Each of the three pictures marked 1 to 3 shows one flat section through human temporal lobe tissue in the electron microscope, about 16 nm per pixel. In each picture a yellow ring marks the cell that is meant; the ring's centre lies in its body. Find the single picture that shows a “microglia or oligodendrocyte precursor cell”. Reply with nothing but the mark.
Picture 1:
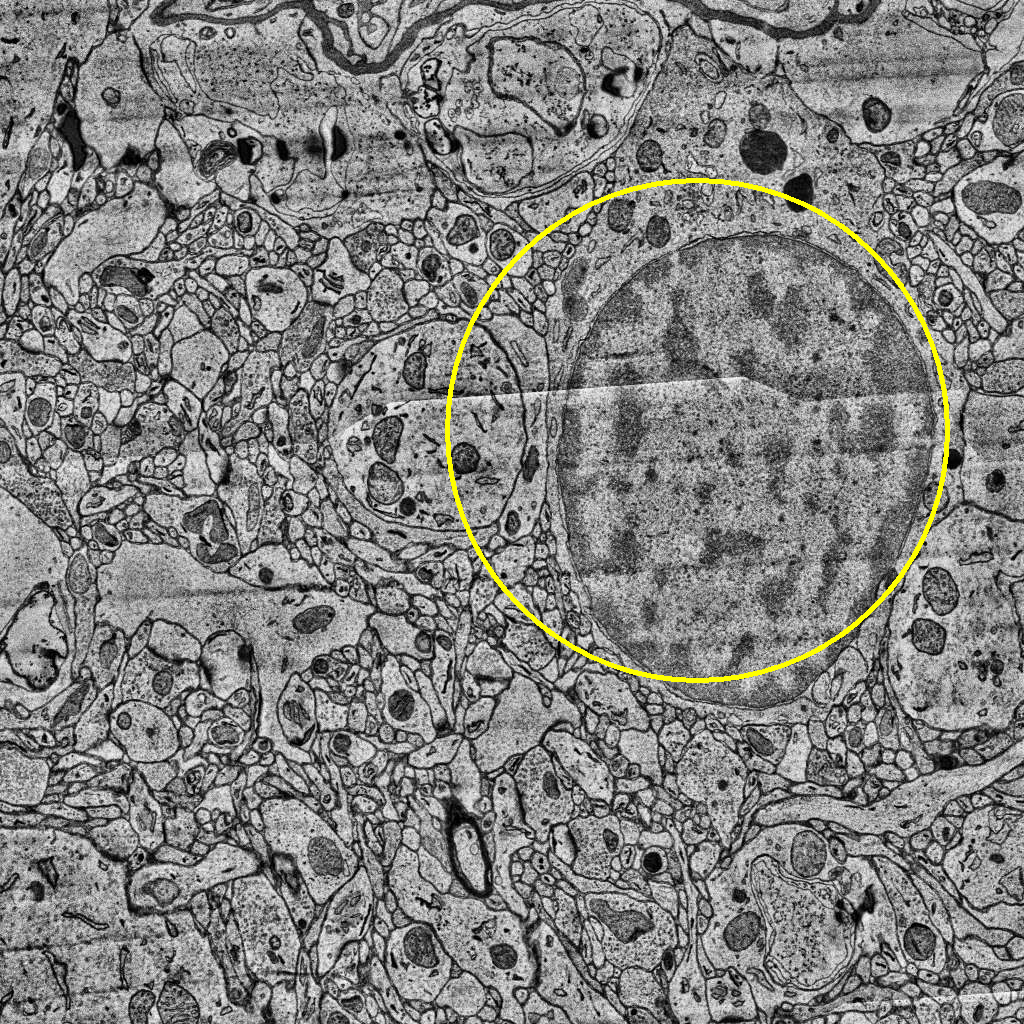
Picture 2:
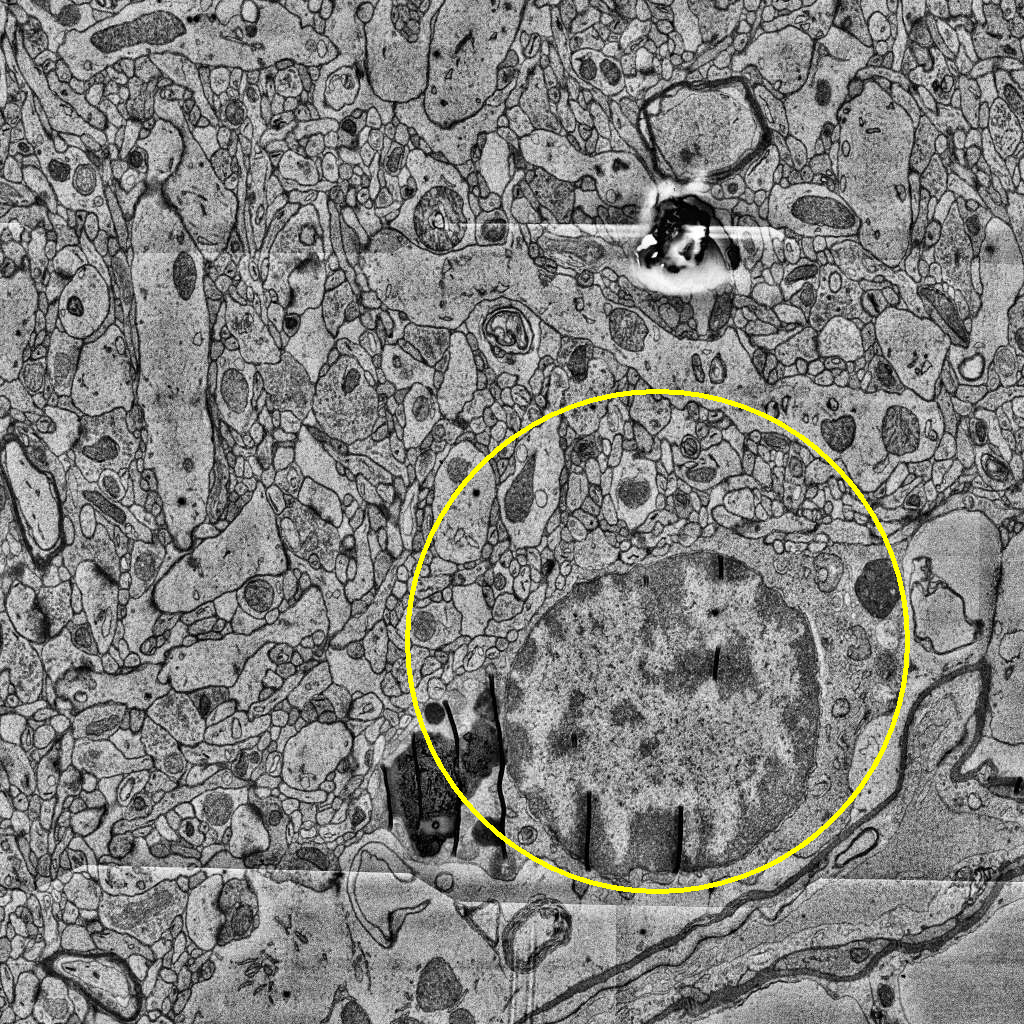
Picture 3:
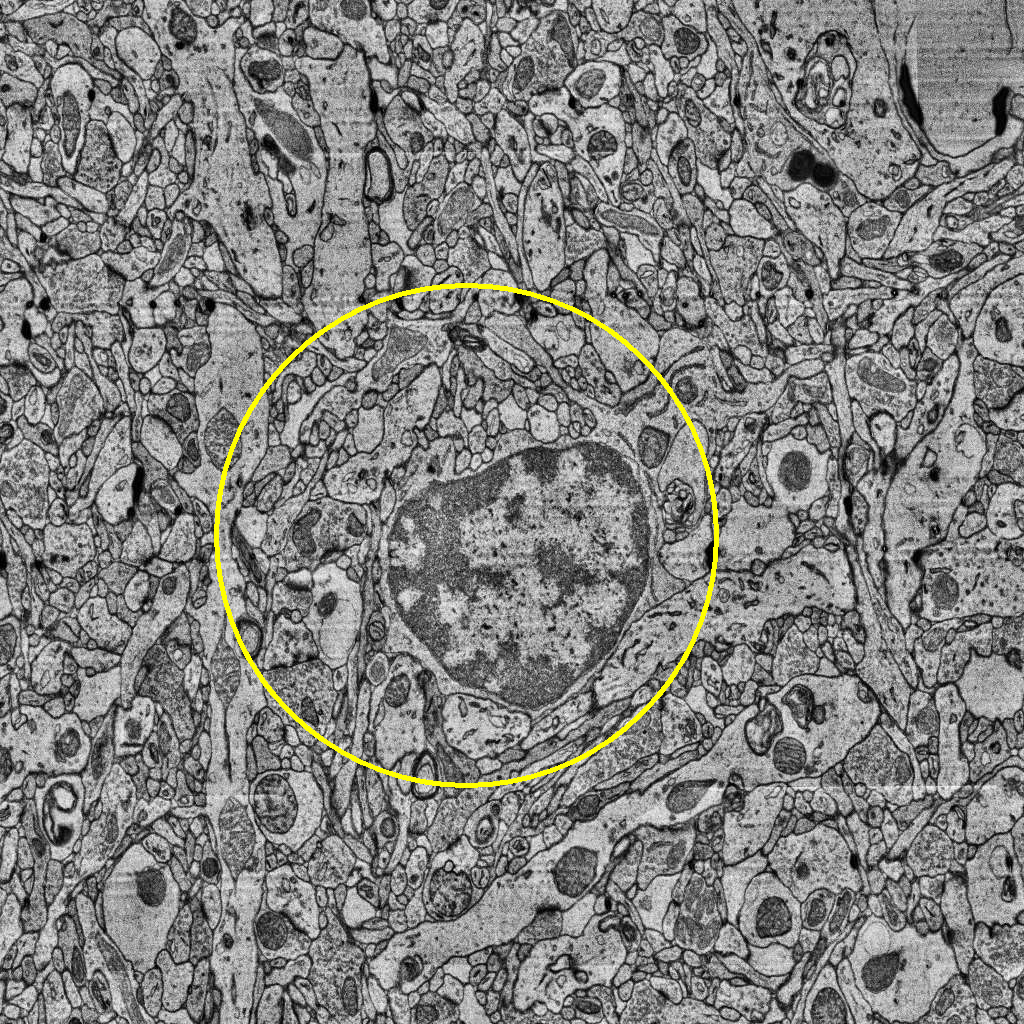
3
